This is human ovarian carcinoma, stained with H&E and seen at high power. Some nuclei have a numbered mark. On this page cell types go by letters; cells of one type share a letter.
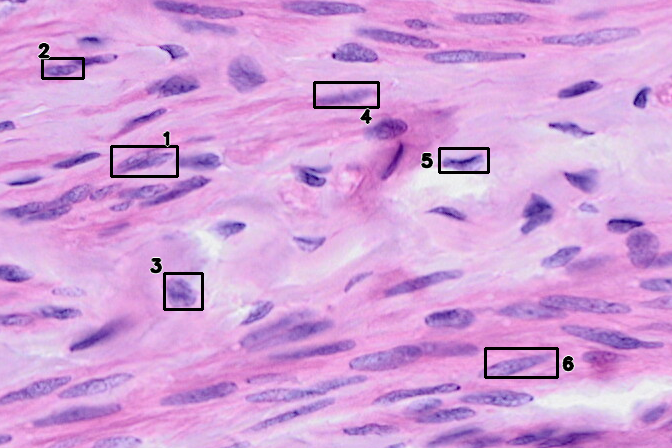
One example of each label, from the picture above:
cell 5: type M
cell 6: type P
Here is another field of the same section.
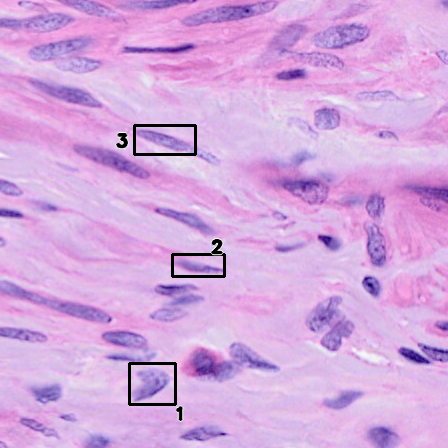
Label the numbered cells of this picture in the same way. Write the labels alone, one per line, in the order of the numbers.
type M
type P
type P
